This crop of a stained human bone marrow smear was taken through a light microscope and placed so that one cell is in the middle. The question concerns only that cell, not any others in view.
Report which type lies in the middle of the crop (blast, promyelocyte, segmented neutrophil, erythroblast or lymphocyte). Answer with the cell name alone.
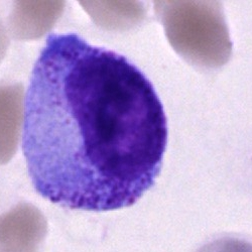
promyelocyte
